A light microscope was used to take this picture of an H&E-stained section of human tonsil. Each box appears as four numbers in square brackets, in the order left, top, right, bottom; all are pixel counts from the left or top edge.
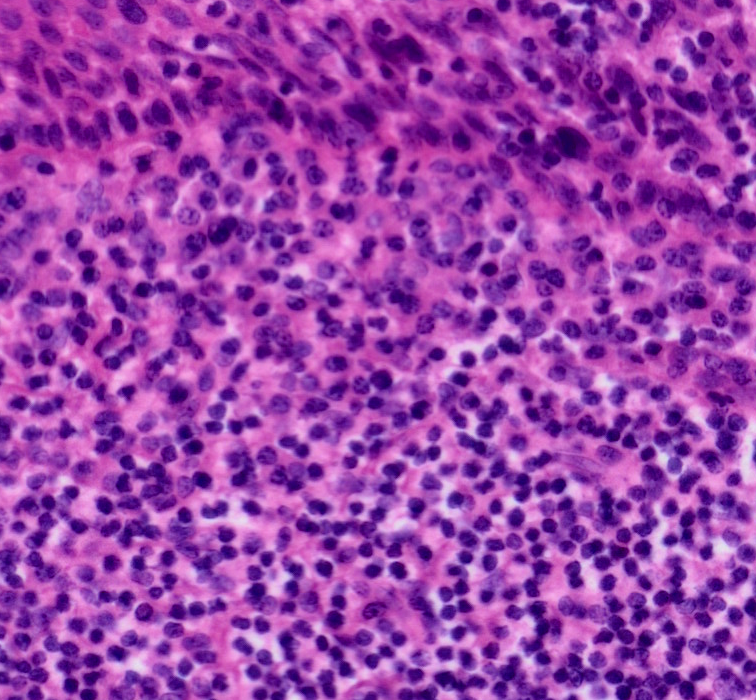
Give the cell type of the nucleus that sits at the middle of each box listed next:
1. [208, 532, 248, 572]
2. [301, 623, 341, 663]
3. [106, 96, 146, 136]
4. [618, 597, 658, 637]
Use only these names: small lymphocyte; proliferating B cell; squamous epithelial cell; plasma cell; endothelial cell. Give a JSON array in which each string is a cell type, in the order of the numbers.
["small lymphocyte", "small lymphocyte", "squamous epithelial cell", "small lymphocyte"]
